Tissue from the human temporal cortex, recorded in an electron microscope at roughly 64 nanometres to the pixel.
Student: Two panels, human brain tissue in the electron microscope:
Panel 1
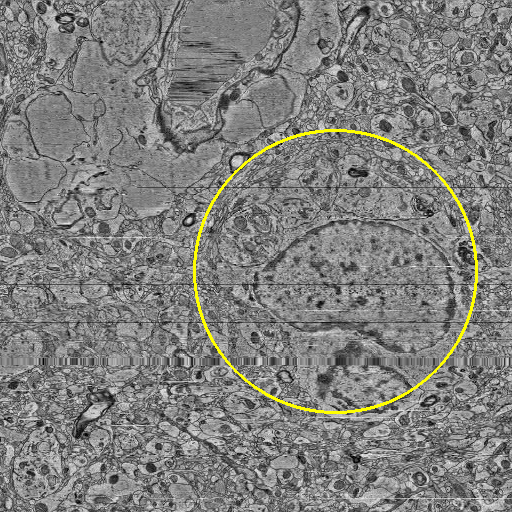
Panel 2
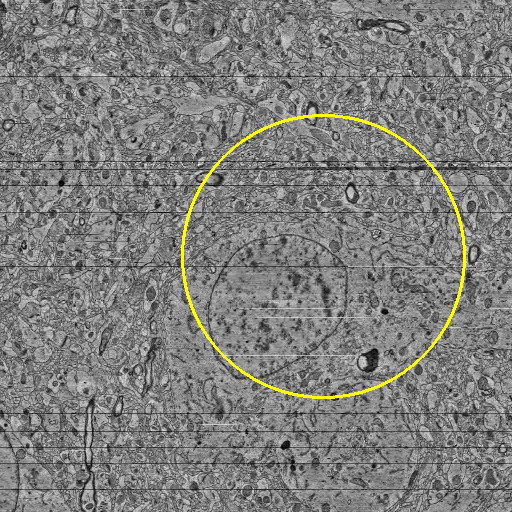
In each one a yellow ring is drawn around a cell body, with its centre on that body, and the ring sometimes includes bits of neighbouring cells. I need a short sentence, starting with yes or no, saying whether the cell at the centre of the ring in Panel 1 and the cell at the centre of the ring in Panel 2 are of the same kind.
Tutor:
No, they are two kinds of cell.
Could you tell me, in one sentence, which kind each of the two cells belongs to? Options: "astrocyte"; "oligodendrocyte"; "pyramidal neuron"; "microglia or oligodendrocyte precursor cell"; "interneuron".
At the centre of the first ring sits a microglial cell or oligodendrocyte precursor cell, and at the centre of the second sits a pyramidal neuron.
